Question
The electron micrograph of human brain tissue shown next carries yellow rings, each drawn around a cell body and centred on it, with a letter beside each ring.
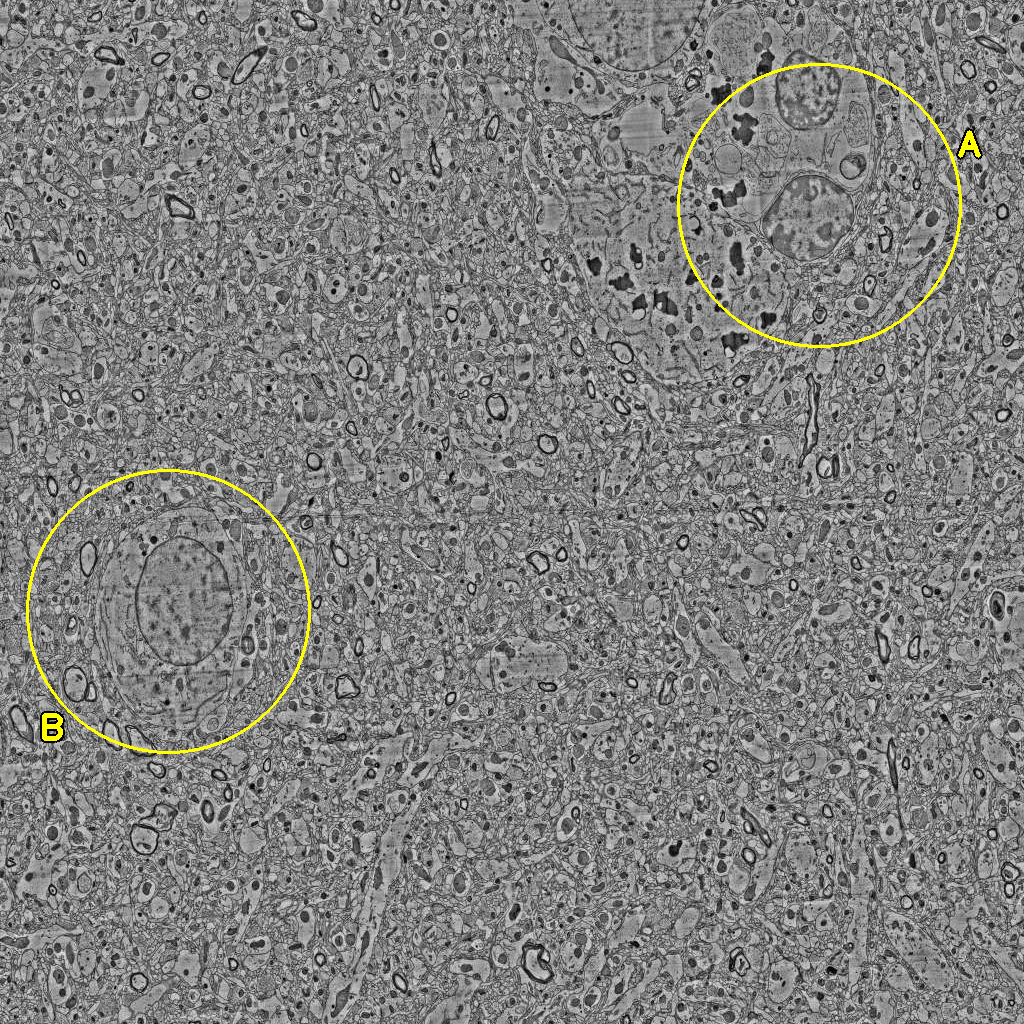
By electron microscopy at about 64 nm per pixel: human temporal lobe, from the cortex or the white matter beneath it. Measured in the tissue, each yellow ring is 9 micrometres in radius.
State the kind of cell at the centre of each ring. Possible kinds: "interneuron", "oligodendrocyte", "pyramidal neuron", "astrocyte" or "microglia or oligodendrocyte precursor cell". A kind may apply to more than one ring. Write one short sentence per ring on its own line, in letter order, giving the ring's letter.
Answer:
The cell centred in ring A is a microglial cell or oligodendrocyte precursor cell.
The cell centred in ring B is a pyramidal neuron.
